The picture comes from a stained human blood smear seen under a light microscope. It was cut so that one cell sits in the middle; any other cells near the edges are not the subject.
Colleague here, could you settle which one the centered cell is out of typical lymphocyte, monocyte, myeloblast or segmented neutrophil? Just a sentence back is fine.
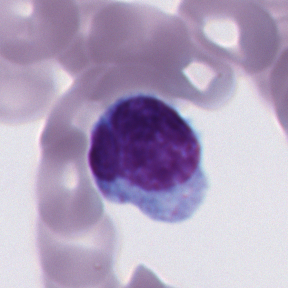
Answering briefly, the cell in the middle is a typical lymphocyte.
